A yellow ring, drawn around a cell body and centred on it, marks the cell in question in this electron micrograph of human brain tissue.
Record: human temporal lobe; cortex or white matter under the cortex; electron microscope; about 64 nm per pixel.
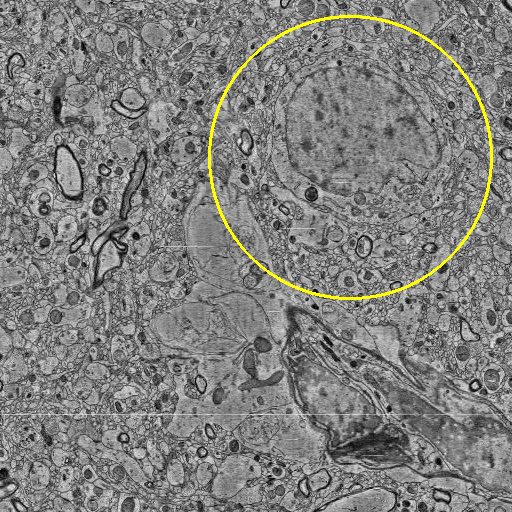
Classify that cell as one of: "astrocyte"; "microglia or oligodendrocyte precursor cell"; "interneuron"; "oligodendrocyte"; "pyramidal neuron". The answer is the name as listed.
interneuron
